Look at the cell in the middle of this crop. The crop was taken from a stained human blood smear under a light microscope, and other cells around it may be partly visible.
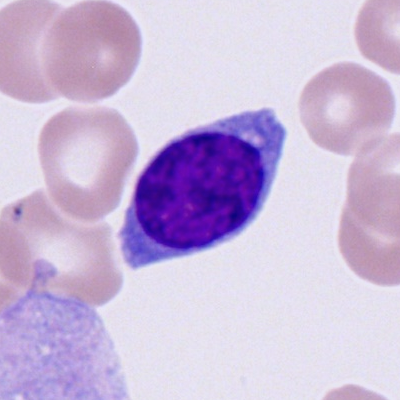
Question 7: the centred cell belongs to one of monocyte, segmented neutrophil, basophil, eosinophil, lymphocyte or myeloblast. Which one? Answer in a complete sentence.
The cell in the middle of the field of view is a lymphocyte.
